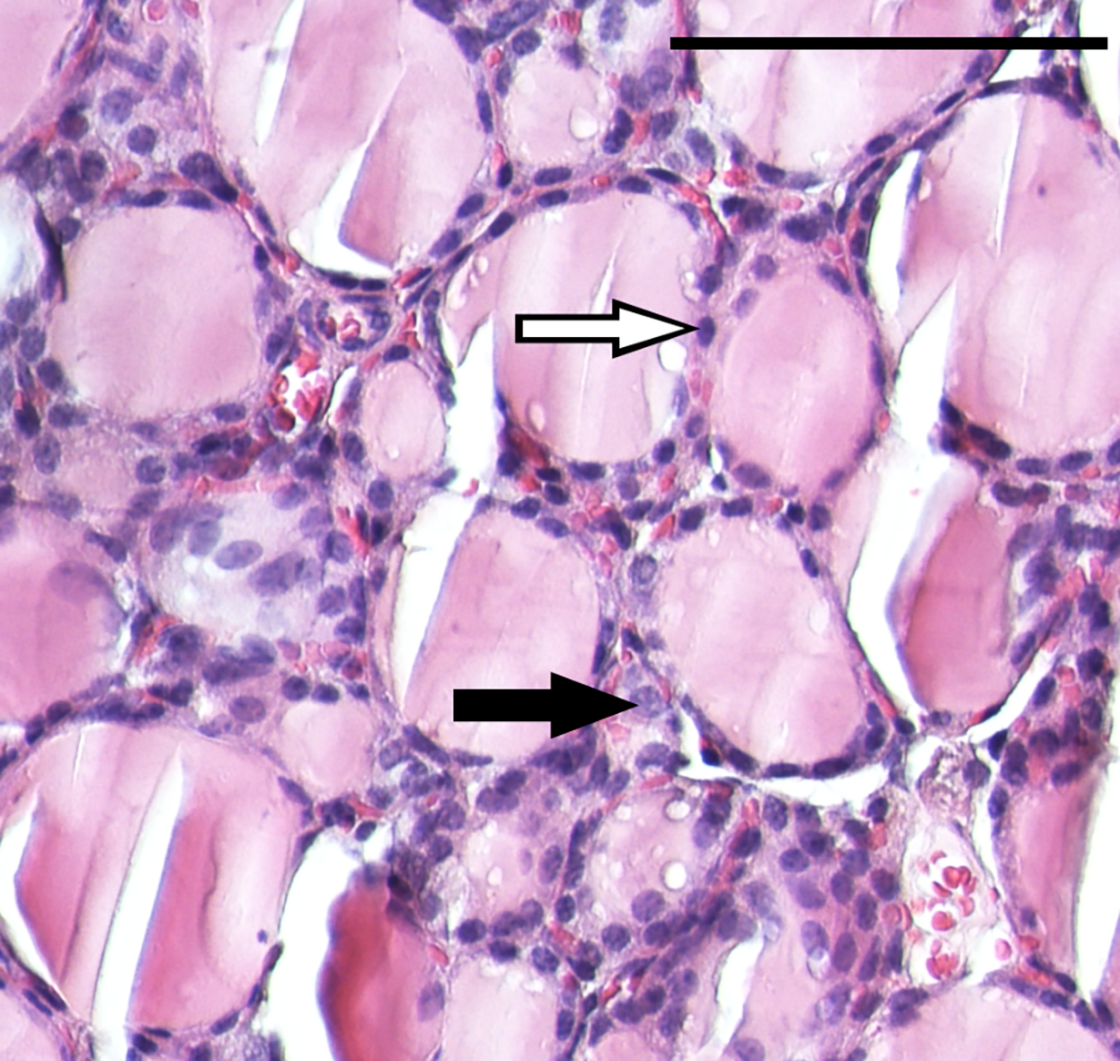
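This is thyroid tissue made of round to oval follicles of varying size, each filled with homogeneous pink colloid and lined by a single layer of flattened to low cuboidal follicular cells with dark oval nuclei. The colloid shows clefts from sectioning, and some follicles have small clear vacuoles at their edge. Between the follicles lies scant connective tissue with capillaries holding red blood cells. Here and there, paler parafollicular cells sit at the outer margin of the follicles, next to the tissue between follicles.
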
